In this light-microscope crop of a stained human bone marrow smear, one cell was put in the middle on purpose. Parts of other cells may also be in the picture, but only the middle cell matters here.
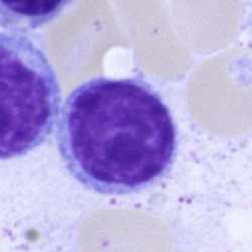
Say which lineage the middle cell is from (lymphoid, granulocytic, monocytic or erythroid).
lymphoid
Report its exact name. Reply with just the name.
lymphocyte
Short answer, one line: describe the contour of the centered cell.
Smooth all around, the outline has no projections to report.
